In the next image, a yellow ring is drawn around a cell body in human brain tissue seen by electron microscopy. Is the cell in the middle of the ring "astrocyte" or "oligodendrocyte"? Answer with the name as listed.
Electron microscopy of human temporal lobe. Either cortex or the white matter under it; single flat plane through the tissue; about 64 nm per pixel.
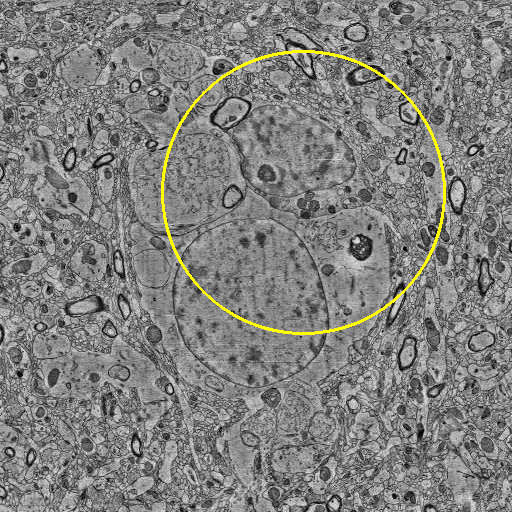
oligodendrocyte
